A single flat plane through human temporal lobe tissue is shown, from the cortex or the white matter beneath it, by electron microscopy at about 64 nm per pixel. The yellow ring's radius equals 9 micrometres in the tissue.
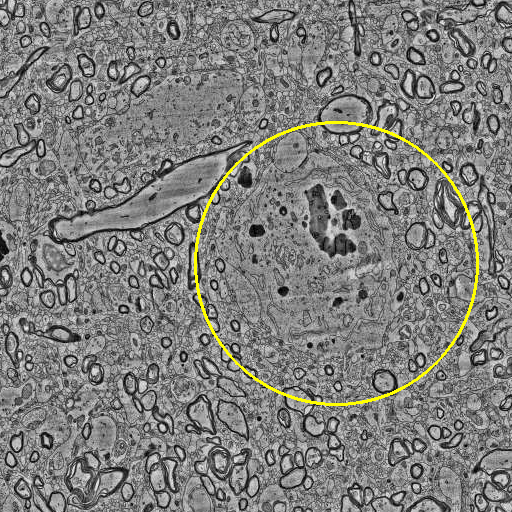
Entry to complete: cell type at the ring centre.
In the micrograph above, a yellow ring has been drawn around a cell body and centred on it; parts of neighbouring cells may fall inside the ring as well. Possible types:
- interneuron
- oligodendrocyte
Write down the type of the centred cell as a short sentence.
The ring is centred on an interneuron.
